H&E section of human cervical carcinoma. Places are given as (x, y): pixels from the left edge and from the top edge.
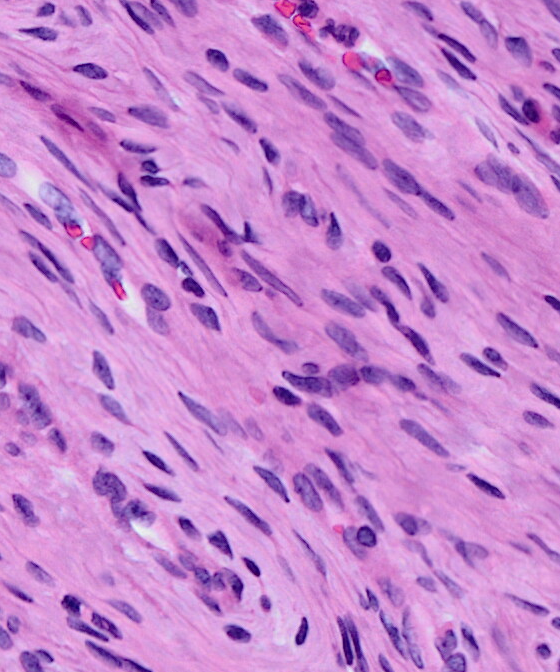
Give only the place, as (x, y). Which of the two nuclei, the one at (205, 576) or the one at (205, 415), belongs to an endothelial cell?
(205, 576)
